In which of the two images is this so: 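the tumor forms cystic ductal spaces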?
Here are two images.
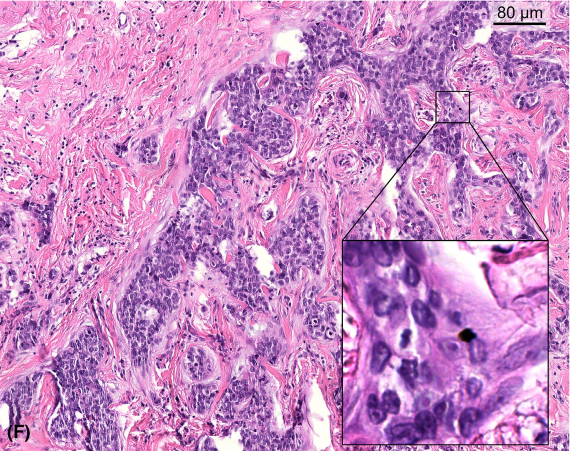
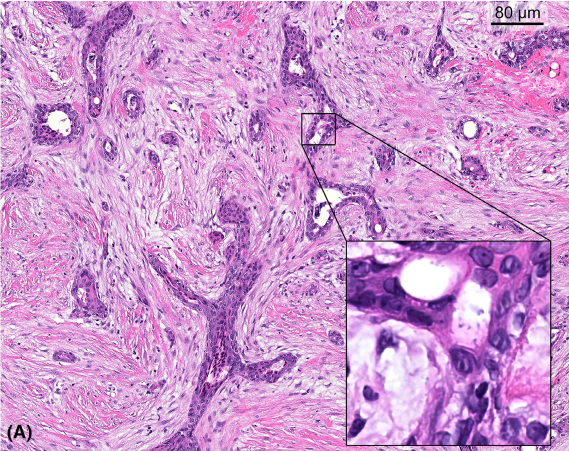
the second image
